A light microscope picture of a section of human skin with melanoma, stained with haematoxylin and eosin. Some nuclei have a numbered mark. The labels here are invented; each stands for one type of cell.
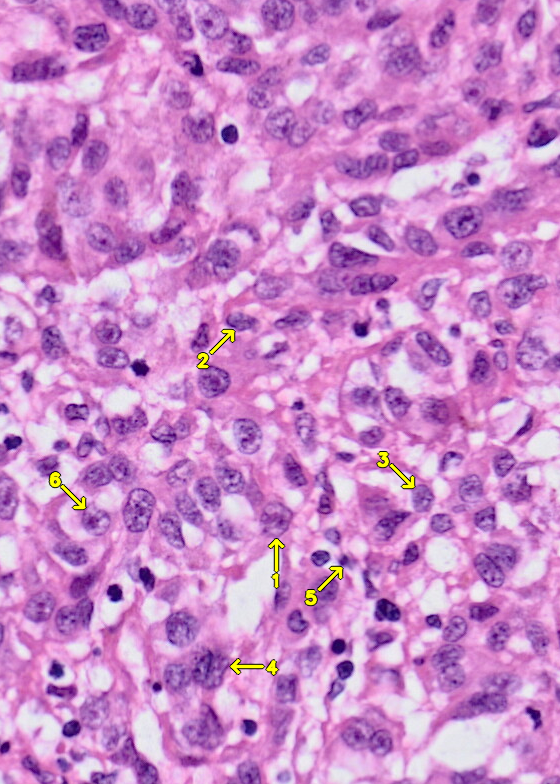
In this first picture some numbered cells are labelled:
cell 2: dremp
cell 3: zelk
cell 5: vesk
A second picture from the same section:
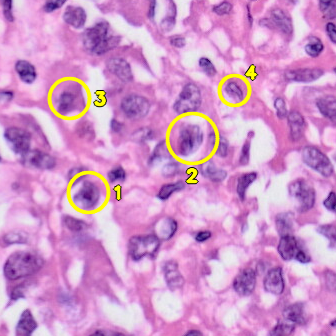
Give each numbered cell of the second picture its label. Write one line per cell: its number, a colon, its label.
1: zelk
2: zelk
3: zelk
4: dremp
